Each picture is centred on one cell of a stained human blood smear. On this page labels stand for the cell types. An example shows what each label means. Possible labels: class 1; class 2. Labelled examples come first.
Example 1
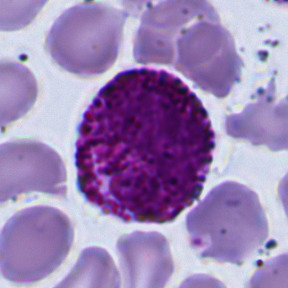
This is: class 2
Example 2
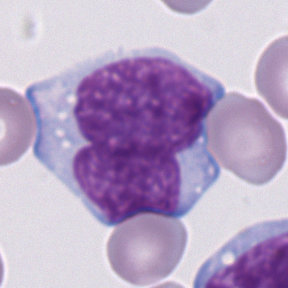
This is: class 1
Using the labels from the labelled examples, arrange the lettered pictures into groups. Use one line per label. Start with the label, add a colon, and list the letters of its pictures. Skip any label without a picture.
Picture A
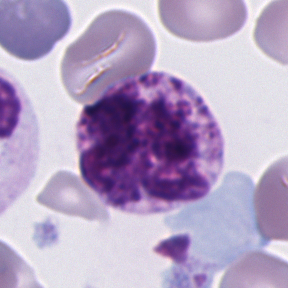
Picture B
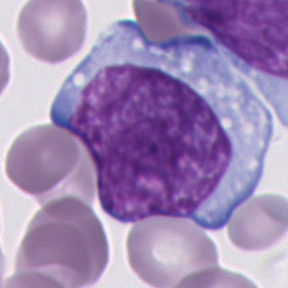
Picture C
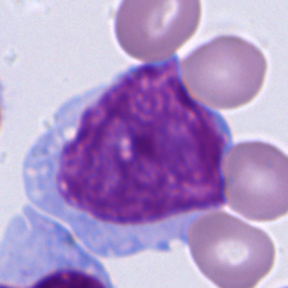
class 1: B, C
class 2: A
